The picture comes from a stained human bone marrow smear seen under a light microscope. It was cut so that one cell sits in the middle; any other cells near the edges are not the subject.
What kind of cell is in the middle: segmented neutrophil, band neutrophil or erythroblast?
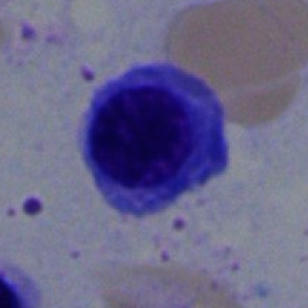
erythroblast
